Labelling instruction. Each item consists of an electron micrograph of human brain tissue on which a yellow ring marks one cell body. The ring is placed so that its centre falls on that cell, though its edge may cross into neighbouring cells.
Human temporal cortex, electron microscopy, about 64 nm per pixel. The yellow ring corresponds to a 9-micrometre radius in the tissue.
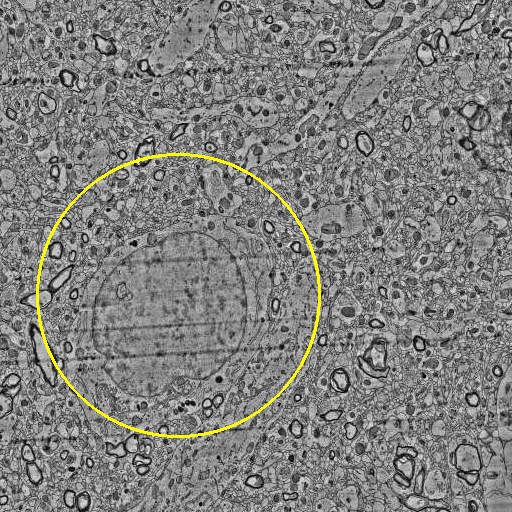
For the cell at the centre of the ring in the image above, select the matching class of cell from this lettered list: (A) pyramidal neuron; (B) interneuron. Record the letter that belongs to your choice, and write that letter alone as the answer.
B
